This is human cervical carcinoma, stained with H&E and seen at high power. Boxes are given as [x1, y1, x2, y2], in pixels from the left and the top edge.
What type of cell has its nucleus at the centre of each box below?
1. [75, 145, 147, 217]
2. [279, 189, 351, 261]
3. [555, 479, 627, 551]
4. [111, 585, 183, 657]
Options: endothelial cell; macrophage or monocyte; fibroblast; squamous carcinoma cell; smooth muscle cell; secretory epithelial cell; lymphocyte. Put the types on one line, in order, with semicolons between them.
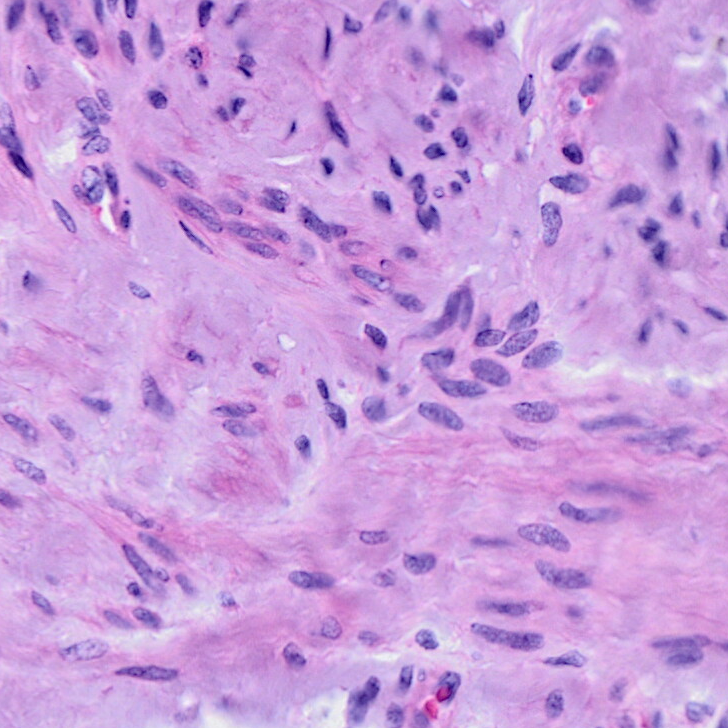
endothelial cell; fibroblast; fibroblast; smooth muscle cell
